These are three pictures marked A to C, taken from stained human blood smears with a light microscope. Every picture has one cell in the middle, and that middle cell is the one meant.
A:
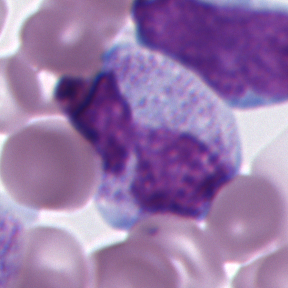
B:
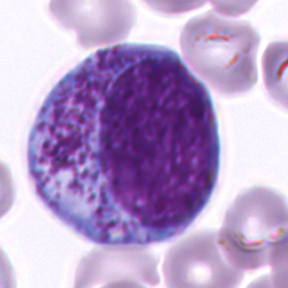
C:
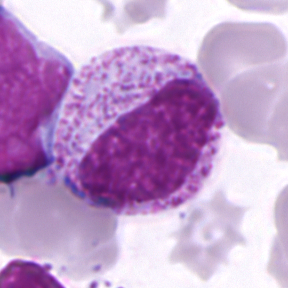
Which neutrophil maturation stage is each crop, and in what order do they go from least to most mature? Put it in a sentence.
From least mature to most mature, the crops fall in the order crop B (a promyelocyte), crop C (a myelocyte) and crop A (a band neutrophil).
